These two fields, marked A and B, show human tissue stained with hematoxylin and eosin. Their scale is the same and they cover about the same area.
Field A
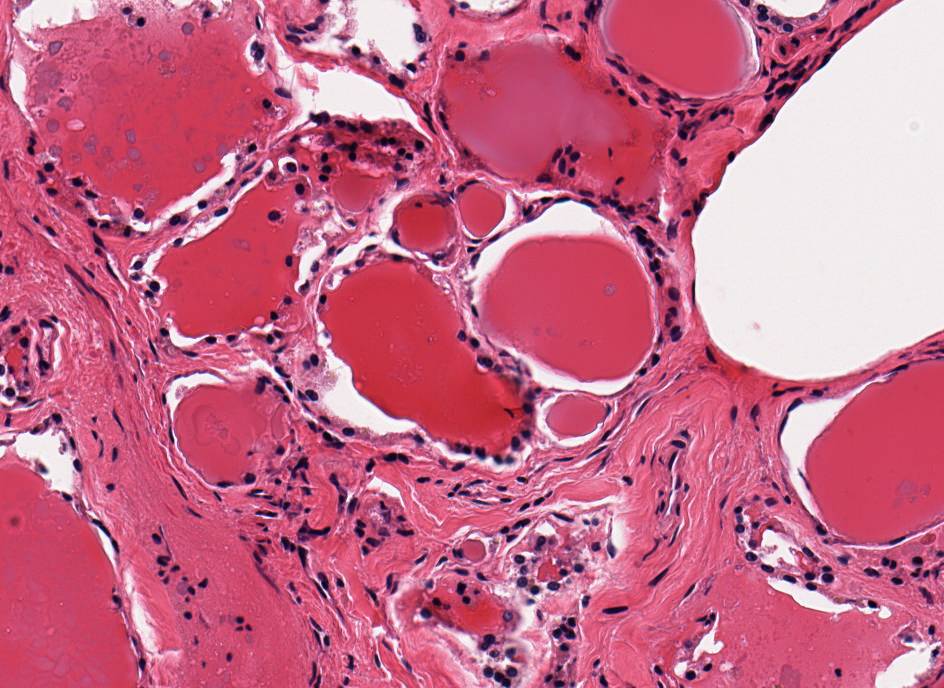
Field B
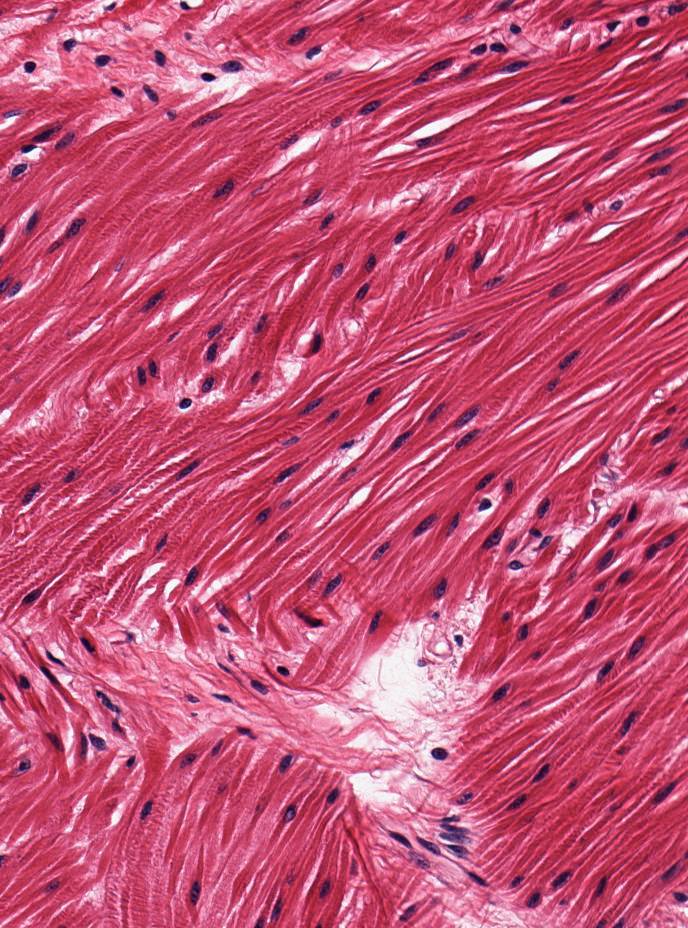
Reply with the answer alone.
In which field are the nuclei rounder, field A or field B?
A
